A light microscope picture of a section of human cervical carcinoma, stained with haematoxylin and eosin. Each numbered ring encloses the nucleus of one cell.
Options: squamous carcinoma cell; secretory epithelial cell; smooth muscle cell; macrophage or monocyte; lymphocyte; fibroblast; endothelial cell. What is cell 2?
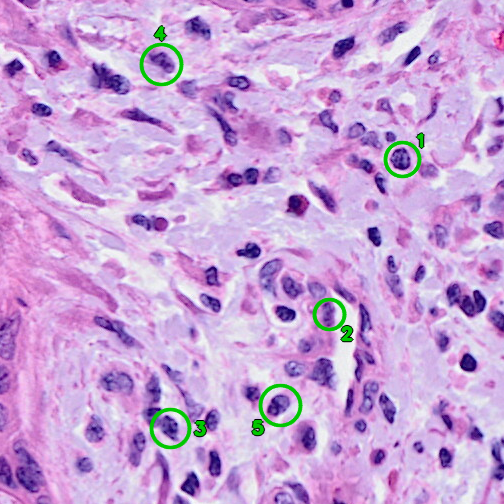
endothelial cell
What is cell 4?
macrophage or monocyte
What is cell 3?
lymphocyte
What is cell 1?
lymphocyte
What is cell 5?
lymphocyte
